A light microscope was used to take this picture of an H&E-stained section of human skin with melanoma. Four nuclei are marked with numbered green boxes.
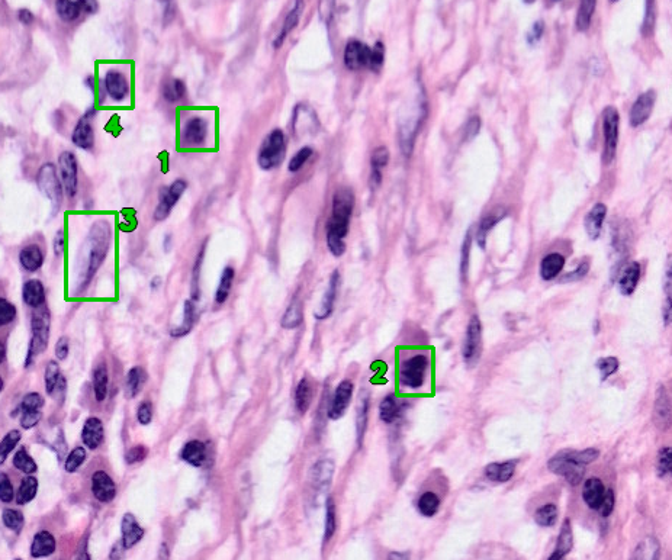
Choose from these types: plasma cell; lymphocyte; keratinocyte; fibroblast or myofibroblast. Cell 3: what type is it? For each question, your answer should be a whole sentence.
The cell that is numbered 3 is a fibroblast or myofibroblast.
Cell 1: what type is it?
The correct answer for cell 1 is a plasma cell.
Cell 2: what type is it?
The cell whose nucleus carries the number 2 is a plasma cell.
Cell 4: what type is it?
The marked cell bearing number 4 is a lymphocyte.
